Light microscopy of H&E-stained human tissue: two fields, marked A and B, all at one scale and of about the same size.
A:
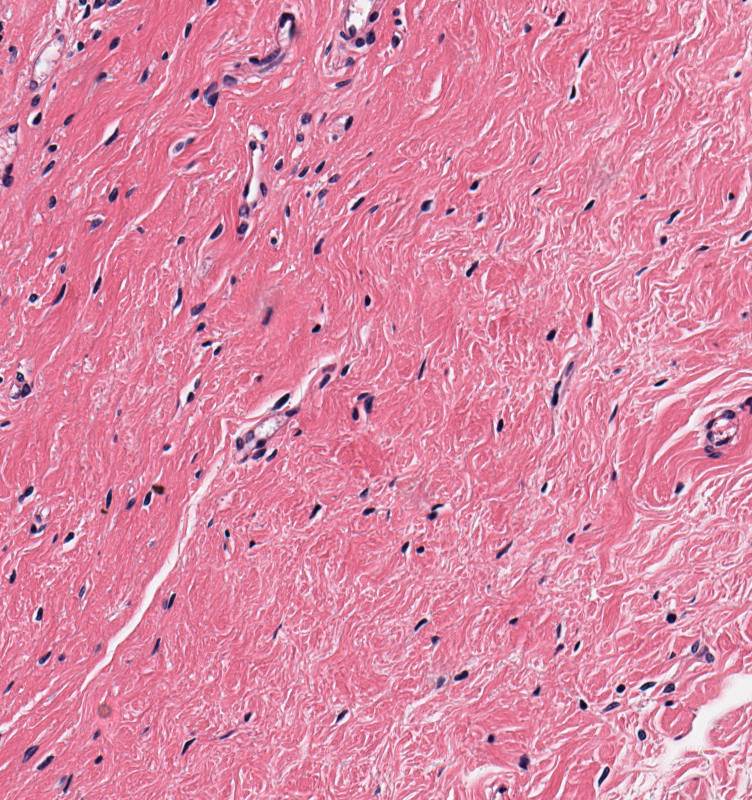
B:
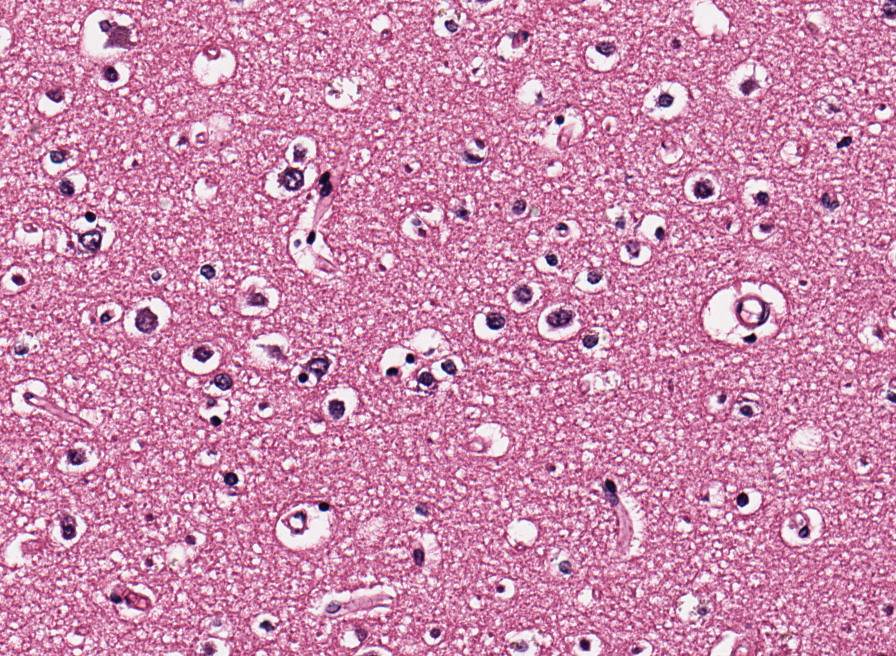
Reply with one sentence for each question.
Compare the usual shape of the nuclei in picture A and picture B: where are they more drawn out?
Longer, more slender nuclei lie in picture A.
